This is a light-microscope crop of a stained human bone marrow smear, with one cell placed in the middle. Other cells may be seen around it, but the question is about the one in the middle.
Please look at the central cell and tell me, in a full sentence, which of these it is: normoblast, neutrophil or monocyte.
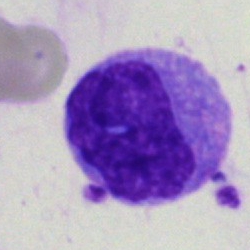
This crop's central cell is a monocyte.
